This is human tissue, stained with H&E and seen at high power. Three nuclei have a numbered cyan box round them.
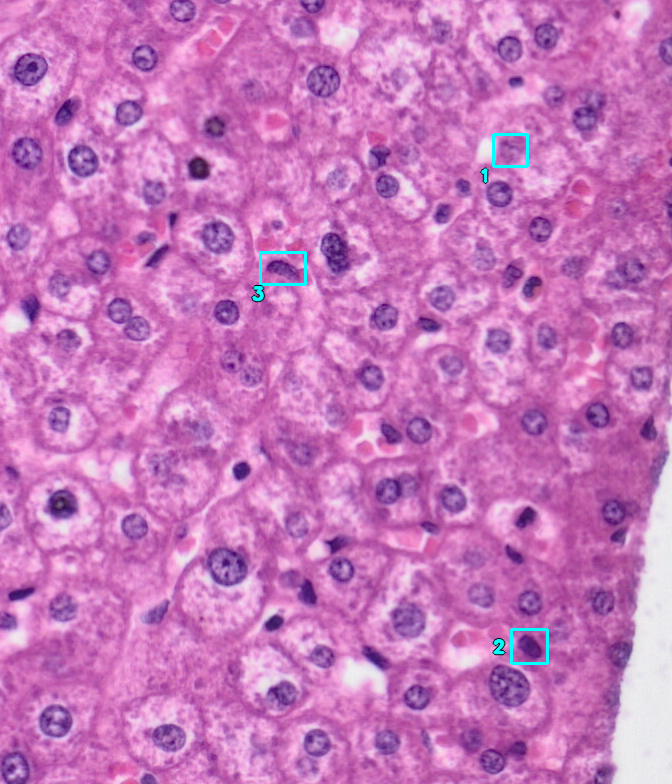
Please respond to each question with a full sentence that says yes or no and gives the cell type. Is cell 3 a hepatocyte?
No, cell 3 is to be classed as a Kupffer cell, not a hepatocyte.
